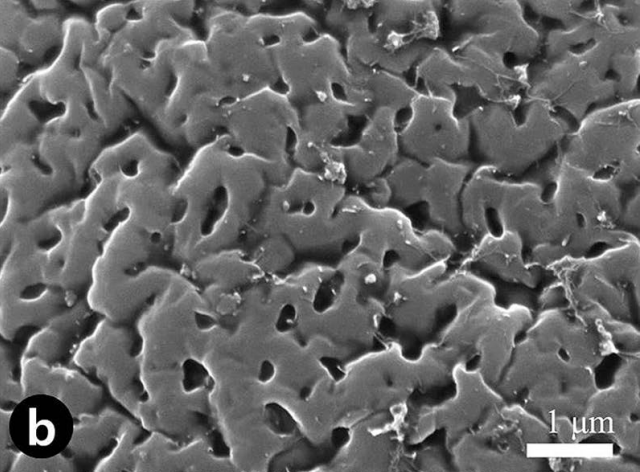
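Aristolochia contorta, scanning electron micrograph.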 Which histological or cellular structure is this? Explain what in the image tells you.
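A continuous surface of smooth, irregular, winding ridges. Small dark holes of under half a micrometre perforate the surface between the ridges.
Surface ornamentation.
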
